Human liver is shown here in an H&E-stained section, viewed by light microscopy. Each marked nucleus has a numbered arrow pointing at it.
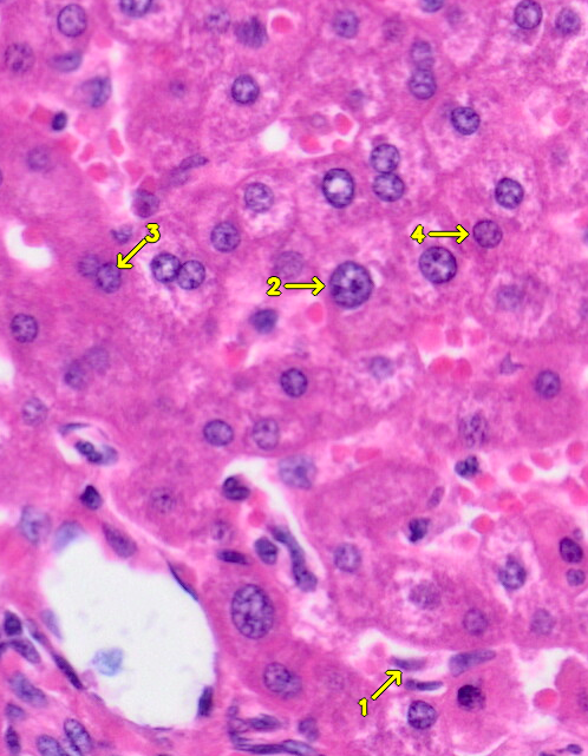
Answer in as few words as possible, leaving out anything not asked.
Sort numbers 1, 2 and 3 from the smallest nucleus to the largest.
1, 3, 2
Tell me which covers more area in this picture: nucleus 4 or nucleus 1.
4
